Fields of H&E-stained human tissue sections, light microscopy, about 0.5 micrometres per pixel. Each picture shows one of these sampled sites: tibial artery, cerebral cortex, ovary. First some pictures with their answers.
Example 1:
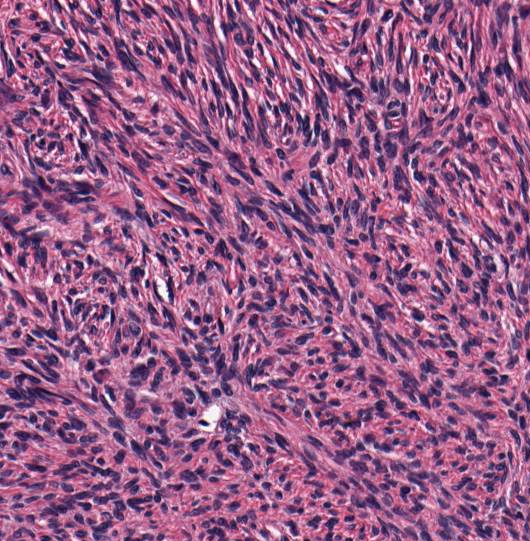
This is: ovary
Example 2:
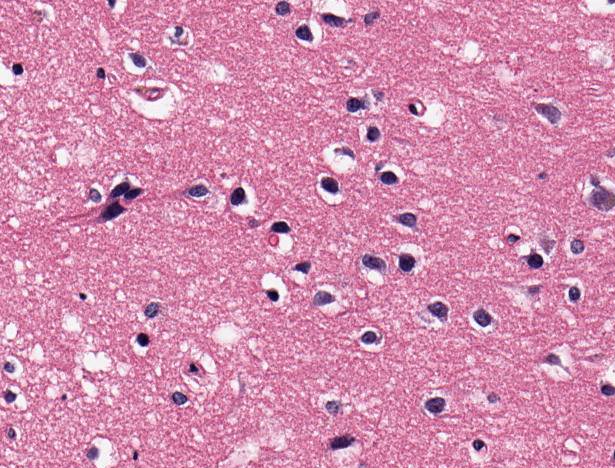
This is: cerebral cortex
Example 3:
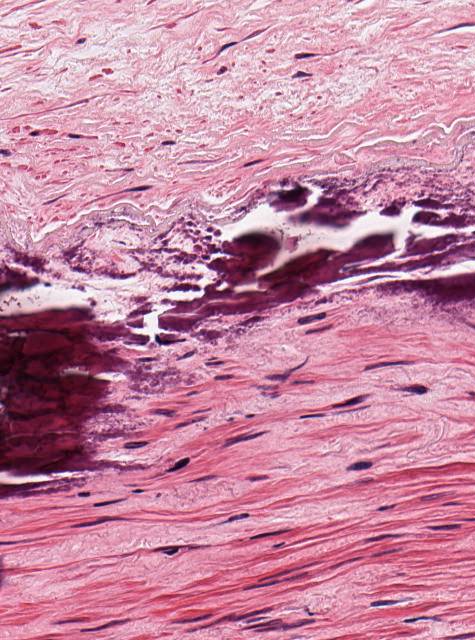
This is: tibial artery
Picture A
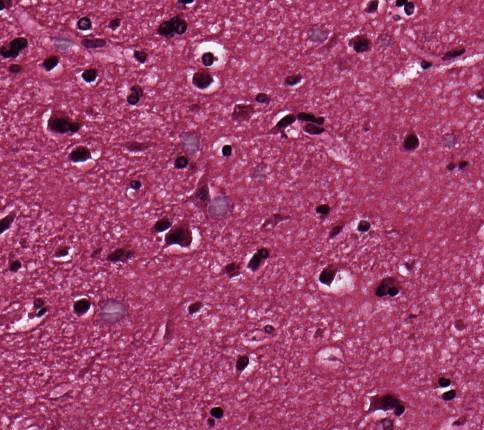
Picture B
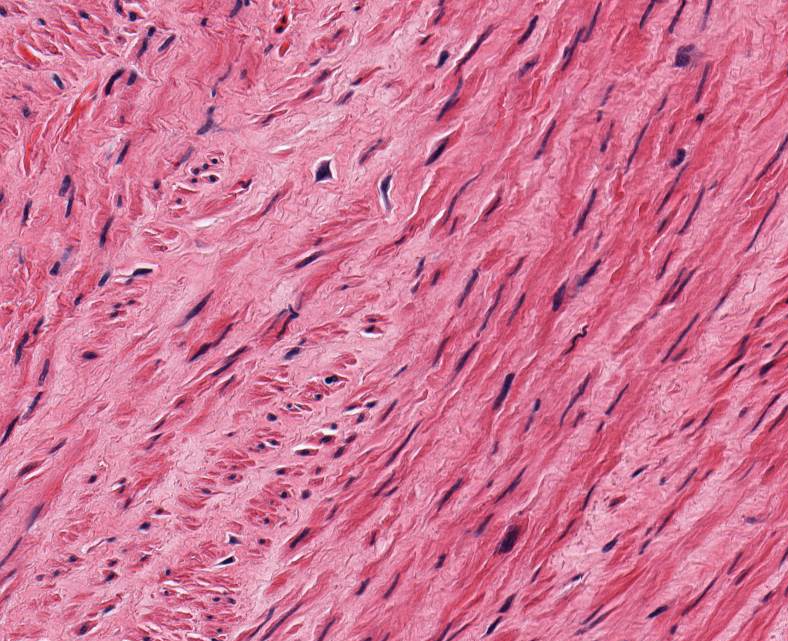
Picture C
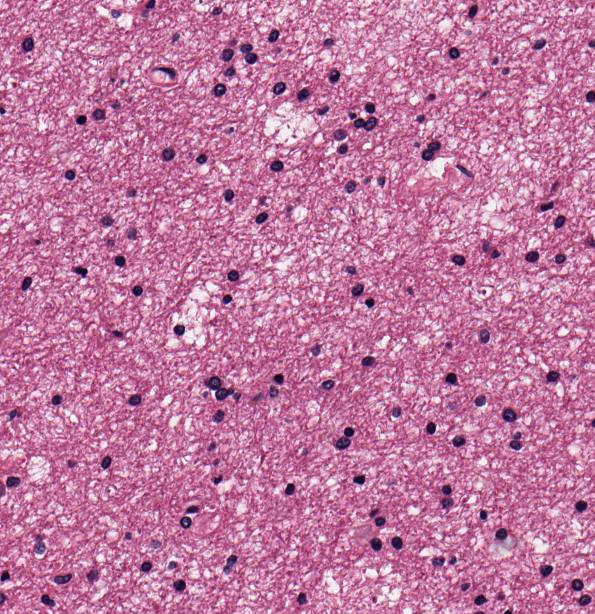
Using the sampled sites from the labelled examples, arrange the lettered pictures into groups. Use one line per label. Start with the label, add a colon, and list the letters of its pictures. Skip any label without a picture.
tibial artery: B
cerebral cortex: A, C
